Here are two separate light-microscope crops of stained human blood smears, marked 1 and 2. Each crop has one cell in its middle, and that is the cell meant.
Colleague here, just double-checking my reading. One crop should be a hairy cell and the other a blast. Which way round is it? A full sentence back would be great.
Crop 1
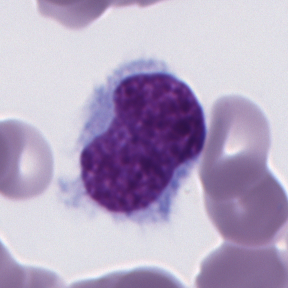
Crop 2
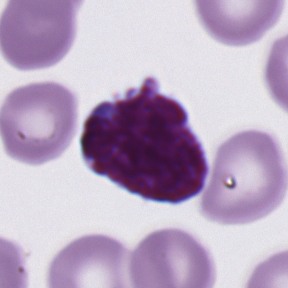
Crop 2 contains a blast, whereas crop 1 contains a hairy cell.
